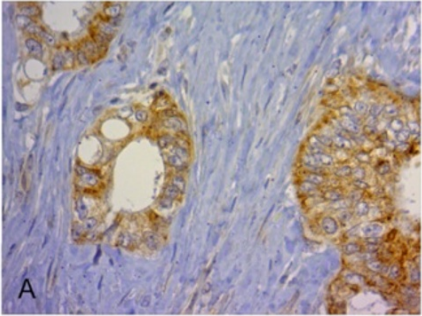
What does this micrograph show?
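Tumor cells form glandular structures around open lumina within a blue-counterstained fibrous stroma. The tumor cells have large round to oval blue nuclei, many with visible nucleoli. Their cytoplasm and cell borders are stained brown, while the nuclei remain unstained. The surrounding stroma consists of elongated spindle-shaped cells with thin nuclei running in parallel.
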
